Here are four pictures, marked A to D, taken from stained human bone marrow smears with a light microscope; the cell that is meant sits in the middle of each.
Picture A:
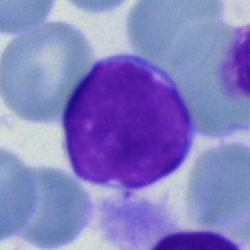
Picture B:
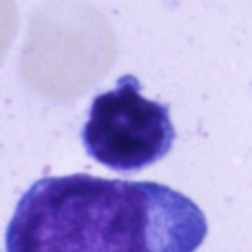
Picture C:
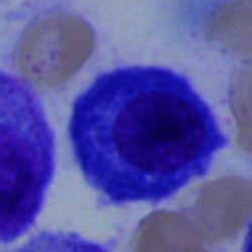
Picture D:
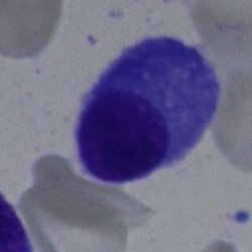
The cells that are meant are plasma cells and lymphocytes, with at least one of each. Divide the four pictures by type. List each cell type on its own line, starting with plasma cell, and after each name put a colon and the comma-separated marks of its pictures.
plasma cell: C, D
lymphocyte: A, B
